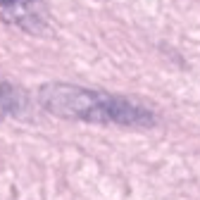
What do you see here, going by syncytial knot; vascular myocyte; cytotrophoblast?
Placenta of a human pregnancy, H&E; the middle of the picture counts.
I see a vascular myocyte.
